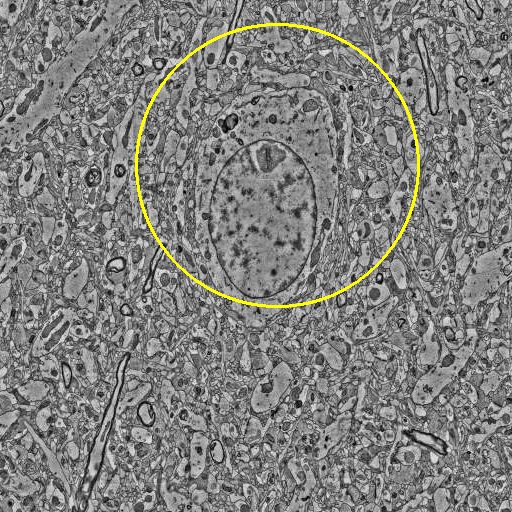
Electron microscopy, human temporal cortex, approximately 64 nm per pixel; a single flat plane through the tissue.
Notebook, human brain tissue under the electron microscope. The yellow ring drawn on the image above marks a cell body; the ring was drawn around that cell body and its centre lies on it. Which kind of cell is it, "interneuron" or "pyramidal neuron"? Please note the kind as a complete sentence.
The marked cell body is that of a pyramidal neuron.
